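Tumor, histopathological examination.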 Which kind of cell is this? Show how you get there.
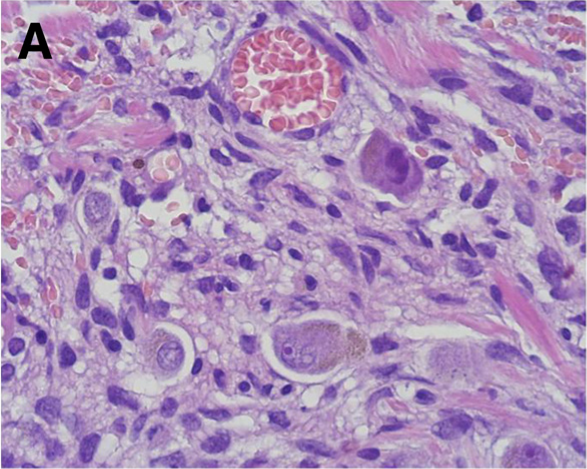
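Several large cells with abundant cytoplasm stand out among smaller cells. The large cells have round nuclei with prominent nucleoli. Some of the large cells sit in clear halo-like spaces. That points to this answer: atypical ganglion cells.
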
